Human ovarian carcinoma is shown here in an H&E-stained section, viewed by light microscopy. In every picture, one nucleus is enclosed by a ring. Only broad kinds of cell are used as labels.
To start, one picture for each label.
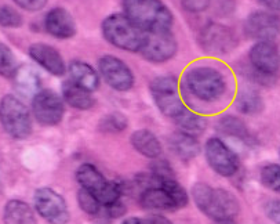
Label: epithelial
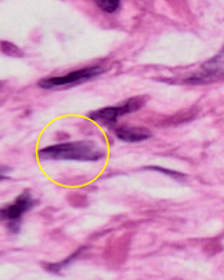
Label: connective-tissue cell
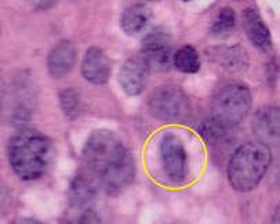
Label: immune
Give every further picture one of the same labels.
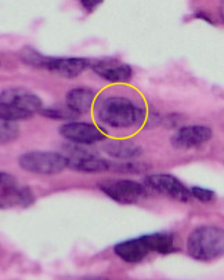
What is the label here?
epithelial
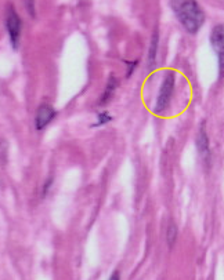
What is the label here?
connective-tissue cell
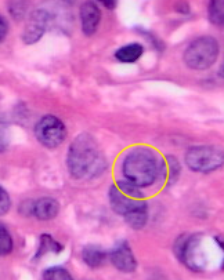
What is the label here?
epithelial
